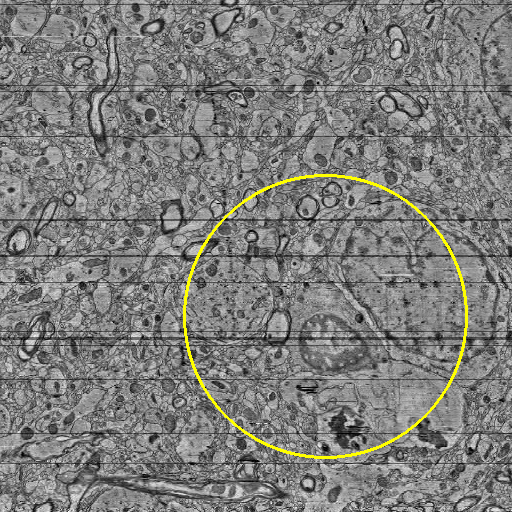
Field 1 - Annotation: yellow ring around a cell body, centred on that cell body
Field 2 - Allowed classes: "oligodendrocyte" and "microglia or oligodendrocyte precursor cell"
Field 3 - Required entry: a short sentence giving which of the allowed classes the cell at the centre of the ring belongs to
The centred cell is an oligodendrocyte.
